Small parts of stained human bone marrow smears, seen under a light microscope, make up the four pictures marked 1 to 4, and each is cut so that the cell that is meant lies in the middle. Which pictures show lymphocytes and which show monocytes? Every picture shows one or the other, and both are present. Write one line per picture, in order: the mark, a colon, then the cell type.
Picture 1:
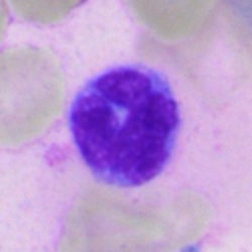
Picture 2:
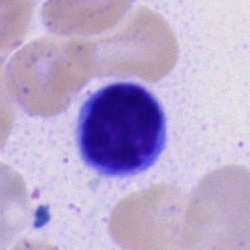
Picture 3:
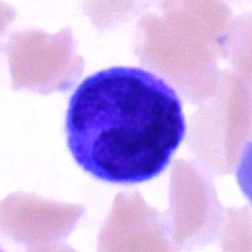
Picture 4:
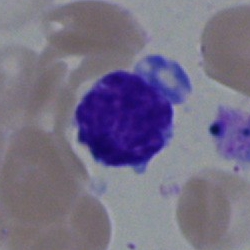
1: monocyte
2: lymphocyte
3: monocyte
4: lymphocyte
